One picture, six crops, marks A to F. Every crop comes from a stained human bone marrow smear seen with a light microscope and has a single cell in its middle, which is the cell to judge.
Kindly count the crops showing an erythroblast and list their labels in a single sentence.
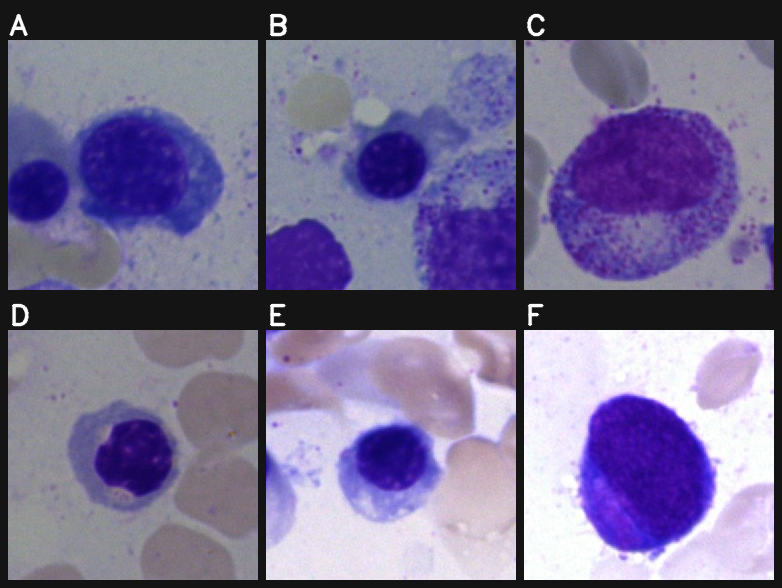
Where erythroblasts are concerned, four crops show them, namely A, B, D and E.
